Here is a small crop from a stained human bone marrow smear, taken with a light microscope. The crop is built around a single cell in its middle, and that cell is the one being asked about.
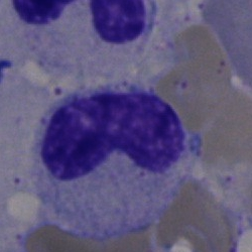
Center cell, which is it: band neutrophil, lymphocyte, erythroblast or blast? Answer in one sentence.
The crop shows a band neutrophil in its centre.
